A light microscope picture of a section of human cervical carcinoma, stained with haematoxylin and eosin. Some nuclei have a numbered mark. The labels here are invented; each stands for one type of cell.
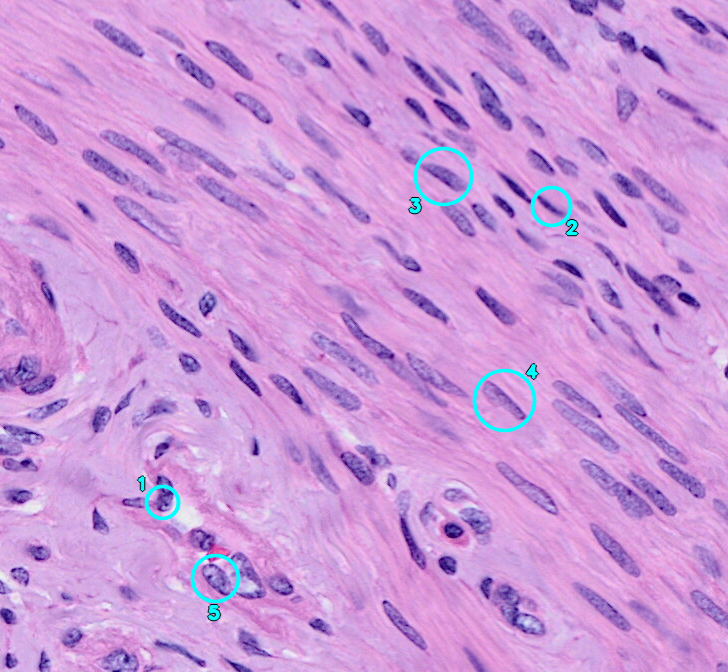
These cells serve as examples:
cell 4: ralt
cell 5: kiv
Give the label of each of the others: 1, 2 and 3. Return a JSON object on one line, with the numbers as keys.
{"1": "kiv", "2": "ralt", "3": "ralt"}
